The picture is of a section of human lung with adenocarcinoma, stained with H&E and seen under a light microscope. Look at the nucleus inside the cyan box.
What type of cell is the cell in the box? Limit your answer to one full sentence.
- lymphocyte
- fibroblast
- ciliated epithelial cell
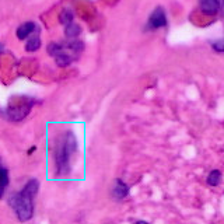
As a matter of cell type, the cell in the box is a fibroblast.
